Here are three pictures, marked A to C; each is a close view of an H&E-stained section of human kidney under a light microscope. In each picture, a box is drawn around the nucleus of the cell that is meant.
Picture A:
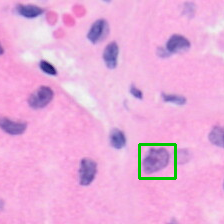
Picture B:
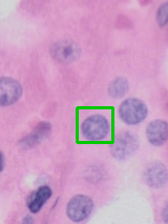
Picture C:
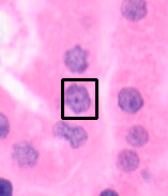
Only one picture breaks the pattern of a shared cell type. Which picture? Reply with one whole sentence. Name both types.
Unlike the rest, which show proximal tubule cells, picture B shows a collecting duct cell.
